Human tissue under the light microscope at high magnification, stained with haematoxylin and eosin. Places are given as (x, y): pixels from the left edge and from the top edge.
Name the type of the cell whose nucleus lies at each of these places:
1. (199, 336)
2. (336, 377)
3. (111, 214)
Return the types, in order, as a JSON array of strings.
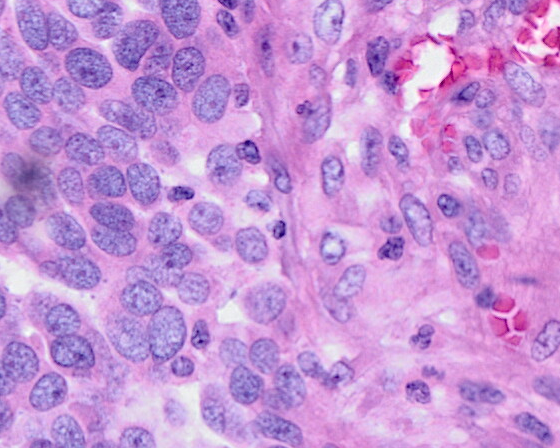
["macrophage or monocyte", "fibroblast", "carcinoma cell"]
